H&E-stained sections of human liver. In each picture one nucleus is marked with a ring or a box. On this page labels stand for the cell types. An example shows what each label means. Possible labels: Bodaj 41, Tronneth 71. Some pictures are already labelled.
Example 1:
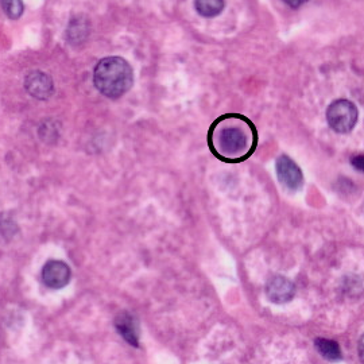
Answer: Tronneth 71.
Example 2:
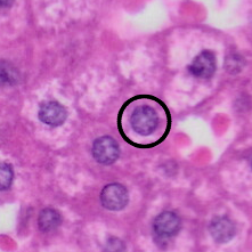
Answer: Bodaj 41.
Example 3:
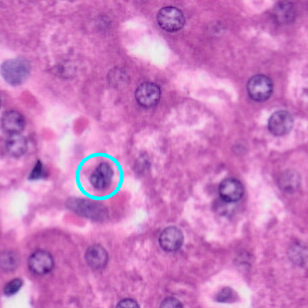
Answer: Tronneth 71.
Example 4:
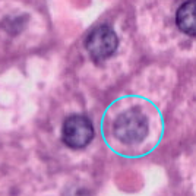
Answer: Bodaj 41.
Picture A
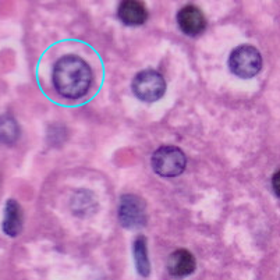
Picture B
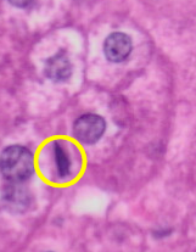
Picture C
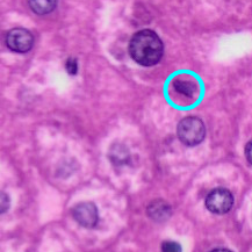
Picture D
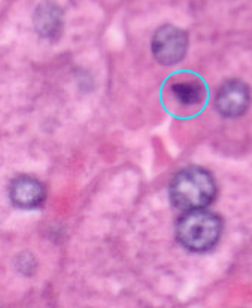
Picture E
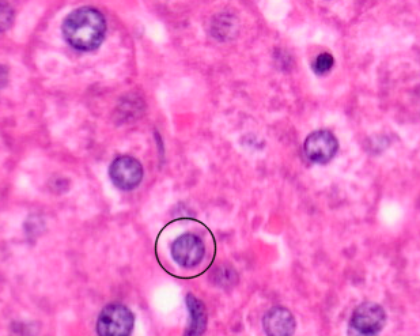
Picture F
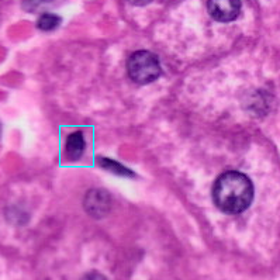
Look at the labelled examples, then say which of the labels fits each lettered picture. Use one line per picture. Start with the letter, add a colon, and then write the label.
A: Bodaj 41.
B: Tronneth 71.
C: Tronneth 71.
D: Tronneth 71.
E: Bodaj 41.
F: Tronneth 71.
